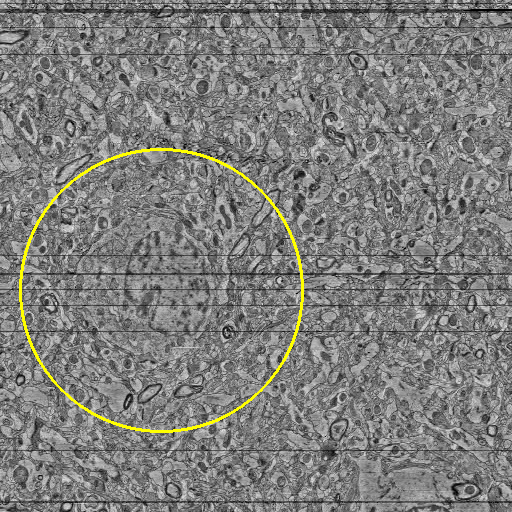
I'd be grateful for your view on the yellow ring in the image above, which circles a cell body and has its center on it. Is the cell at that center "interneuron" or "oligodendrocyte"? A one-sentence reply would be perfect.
The cell at the center of the yellow ring is an interneuron.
